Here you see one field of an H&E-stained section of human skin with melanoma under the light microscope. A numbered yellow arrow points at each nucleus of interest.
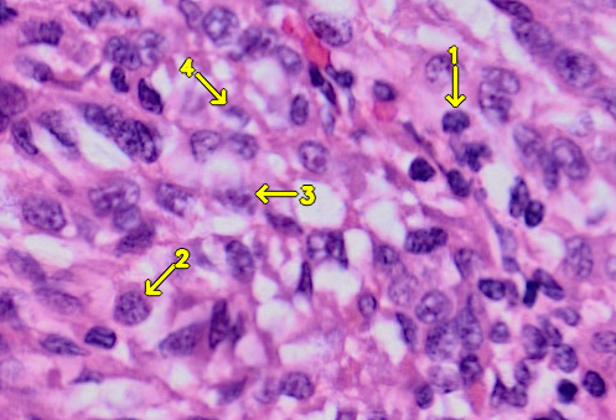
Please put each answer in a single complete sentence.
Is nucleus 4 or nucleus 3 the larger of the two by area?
At about 2 times the area of nucleus 4, nucleus 3 is the larger of the two.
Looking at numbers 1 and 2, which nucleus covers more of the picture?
Nucleus 2 covers more area, about 1.5 times as much as nucleus 1.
